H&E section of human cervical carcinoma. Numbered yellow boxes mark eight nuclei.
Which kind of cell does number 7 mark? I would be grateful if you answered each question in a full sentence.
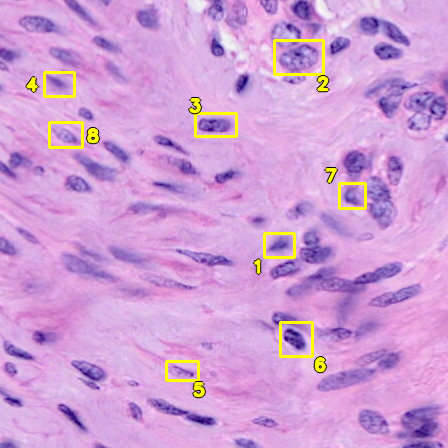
The cell assigned the number 7 is an endothelial cell.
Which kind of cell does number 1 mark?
The marked cell bearing number 1 is a fibroblast.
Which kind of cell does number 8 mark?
The correct label for cell 8 is a smooth muscle cell.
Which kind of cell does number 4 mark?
Cell 4, as marked in the section, is a smooth muscle cell.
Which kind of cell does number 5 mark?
The cell bearing label 5 corresponds to a smooth muscle cell.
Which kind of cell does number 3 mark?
The cell carrying label 3 is identified as a fibroblast.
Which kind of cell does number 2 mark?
The cell that goes by number 2 is an endothelial cell.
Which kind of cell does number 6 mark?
In this section, the cell numbered 6 is a lymphocyte.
